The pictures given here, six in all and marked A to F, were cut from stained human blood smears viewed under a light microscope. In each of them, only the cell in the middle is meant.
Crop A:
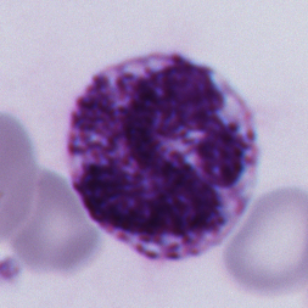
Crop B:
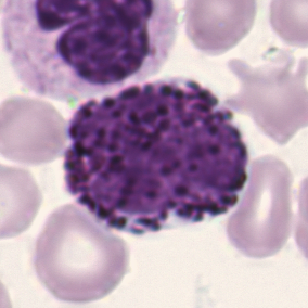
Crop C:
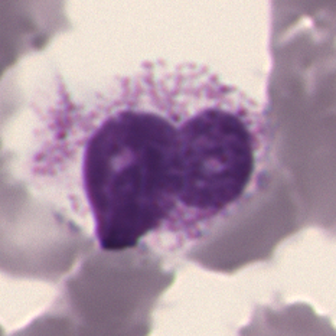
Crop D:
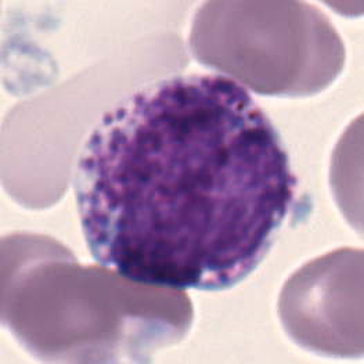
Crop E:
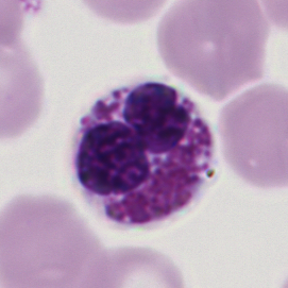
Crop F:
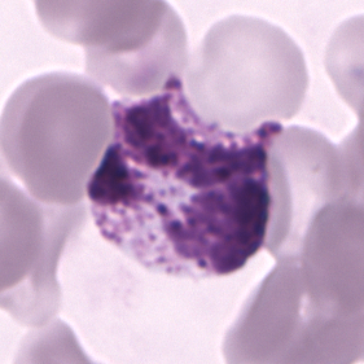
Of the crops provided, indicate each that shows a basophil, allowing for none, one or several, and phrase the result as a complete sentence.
What crops A, B, D and F show in the centre are basophils.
